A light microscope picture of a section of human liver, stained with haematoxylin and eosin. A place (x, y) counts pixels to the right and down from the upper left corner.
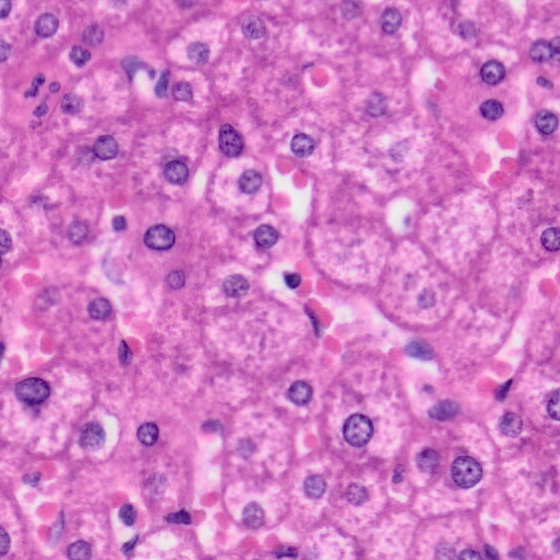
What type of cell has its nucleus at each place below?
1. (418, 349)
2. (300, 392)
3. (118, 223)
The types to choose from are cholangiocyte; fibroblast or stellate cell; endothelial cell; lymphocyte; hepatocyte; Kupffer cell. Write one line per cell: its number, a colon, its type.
1: endothelial cell
2: hepatocyte
3: lymphocyte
